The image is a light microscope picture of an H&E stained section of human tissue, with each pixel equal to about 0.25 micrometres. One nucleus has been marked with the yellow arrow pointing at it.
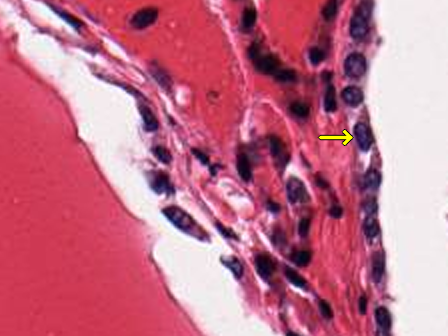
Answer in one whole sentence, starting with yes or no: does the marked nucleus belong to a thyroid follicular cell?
Yes, the marked nucleus is identified as that of a thyroid follicular cell.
